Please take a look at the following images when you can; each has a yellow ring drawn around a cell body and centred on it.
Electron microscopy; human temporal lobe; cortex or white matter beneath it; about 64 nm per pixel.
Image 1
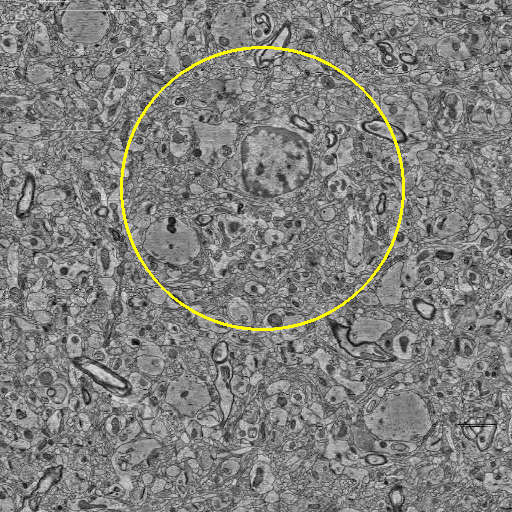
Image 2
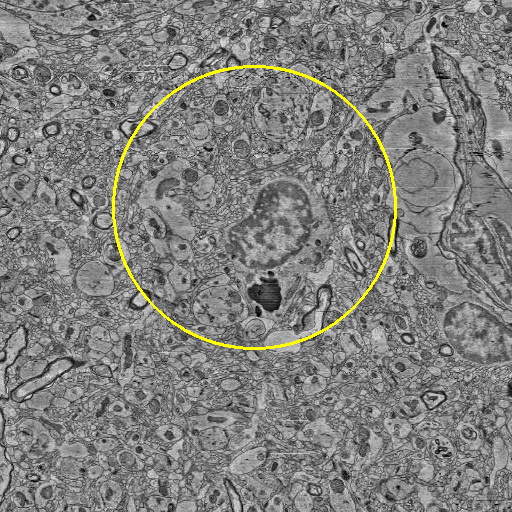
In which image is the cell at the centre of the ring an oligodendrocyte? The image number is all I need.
2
